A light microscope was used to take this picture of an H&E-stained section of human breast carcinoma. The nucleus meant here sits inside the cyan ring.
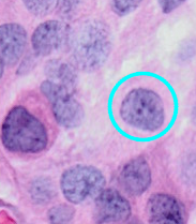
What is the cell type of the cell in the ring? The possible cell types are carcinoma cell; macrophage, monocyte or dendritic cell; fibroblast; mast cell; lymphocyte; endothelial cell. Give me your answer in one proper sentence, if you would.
The identity of the cell in the ring: it is a carcinoma cell.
